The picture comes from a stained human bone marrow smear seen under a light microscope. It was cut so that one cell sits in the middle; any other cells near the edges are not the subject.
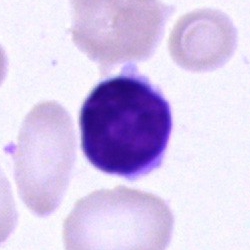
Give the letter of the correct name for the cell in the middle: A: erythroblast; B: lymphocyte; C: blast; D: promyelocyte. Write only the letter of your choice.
B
